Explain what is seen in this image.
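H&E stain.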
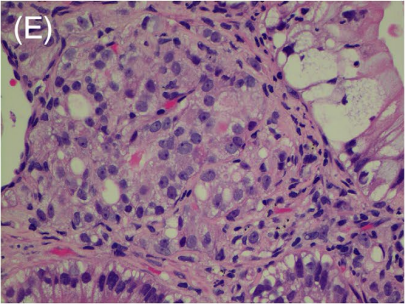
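The cells have moderate pink cytoplasm and enlarged round to oval nuclei, many with a prominent dark nucleolus. Small round clear spaces among the cells suggest acinar formation. At the bottom edge a row of tall columnar epithelial cells with basal nuclei runs beside the nest, and pale mucinous material lies to the upper right.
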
